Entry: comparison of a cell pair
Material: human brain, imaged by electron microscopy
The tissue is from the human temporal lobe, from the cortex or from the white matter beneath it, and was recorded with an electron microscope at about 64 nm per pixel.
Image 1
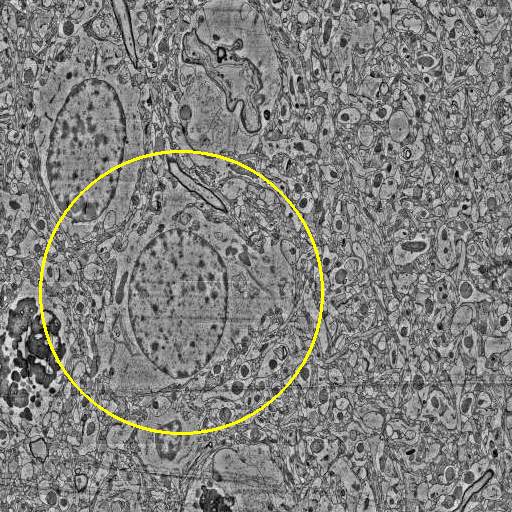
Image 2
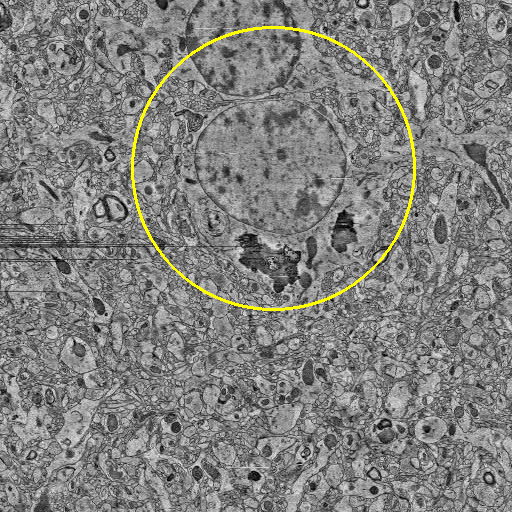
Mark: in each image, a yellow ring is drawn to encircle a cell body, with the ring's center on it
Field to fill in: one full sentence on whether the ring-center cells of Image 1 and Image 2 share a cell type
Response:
Yes, Image 1 and Image 2 each show a ring-center cell of one shared type.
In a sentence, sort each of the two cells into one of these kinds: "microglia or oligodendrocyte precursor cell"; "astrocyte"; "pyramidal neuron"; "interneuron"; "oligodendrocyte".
Both rings mark an astrocyte, one in each picture.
